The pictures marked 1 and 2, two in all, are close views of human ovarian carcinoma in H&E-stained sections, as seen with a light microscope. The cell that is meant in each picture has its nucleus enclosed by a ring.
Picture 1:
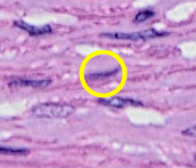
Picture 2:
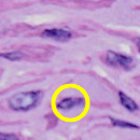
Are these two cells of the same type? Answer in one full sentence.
Yes, the two pictures both show fibroblasts.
